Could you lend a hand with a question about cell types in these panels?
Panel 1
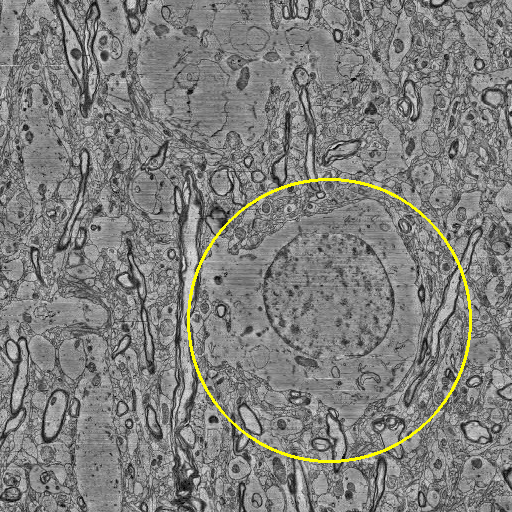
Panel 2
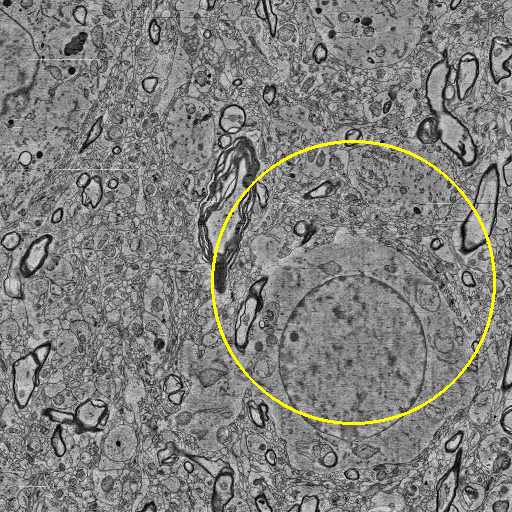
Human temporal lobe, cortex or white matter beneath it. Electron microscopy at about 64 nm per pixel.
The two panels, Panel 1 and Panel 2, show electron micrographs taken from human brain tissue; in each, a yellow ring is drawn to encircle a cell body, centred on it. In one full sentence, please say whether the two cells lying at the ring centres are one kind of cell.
Yes, the cells at the ring centres in the two panels are one kind of cell.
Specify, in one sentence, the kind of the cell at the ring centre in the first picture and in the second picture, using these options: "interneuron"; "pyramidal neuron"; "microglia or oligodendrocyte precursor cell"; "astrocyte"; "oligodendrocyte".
The ring centre holds an astrocyte in each of the two pictures.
